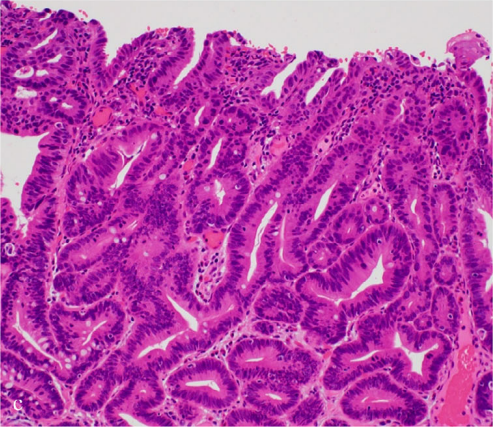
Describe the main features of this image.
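This is a closer view of the adenocarcinoma, made of crowded, irregular tubular glands. The columnar lining cells carry elongated, hyperchromatic nuclei that are stacked and crowded, with pink cytoplasm toward the lumens. Glands lie back to back with only thin strands of stroma and small vessels between them, and some glands branch or fuse.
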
